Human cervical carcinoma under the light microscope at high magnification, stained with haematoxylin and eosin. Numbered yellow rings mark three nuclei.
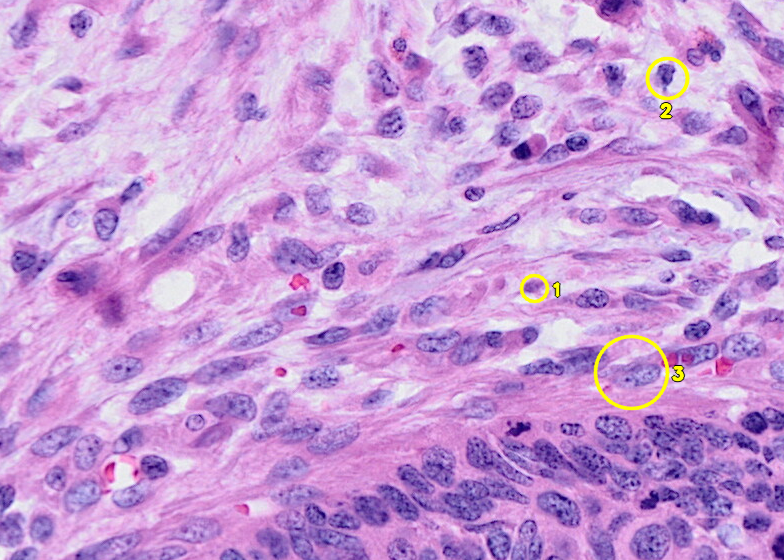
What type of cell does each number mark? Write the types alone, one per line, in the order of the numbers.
fibroblast
lymphocyte
endothelial cell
